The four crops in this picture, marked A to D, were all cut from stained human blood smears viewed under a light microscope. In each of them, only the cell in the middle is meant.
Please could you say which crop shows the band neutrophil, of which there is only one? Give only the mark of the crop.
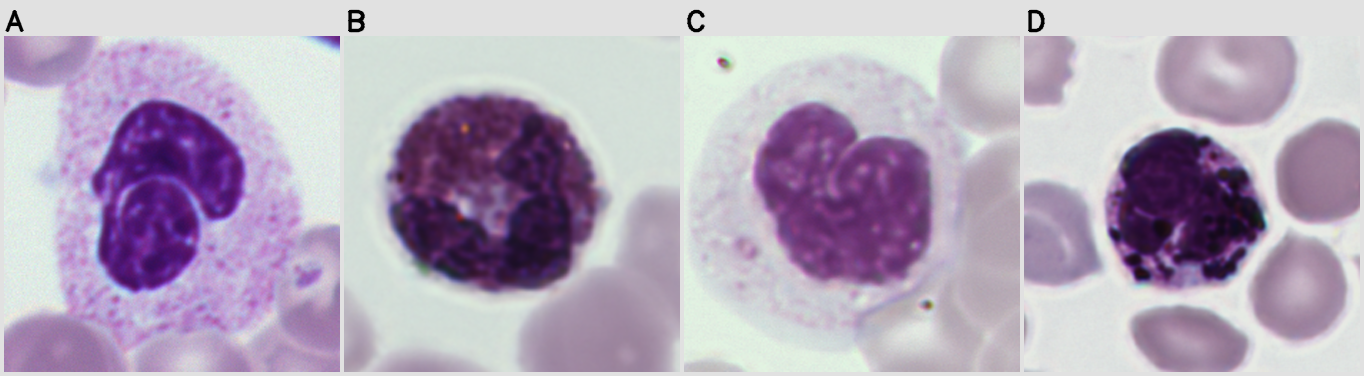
C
